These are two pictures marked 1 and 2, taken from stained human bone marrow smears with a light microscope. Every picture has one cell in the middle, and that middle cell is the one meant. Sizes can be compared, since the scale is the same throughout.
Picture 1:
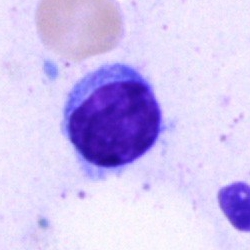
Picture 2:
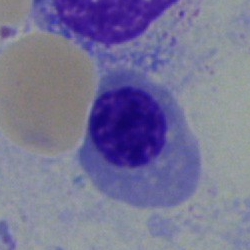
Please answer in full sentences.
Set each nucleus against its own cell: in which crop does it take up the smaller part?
In picture 2 the nucleus takes up the smaller part of its cell.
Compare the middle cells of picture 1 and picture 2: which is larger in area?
The cell in picture 2 is larger, with about 1.5 times the area of the one in picture 1.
